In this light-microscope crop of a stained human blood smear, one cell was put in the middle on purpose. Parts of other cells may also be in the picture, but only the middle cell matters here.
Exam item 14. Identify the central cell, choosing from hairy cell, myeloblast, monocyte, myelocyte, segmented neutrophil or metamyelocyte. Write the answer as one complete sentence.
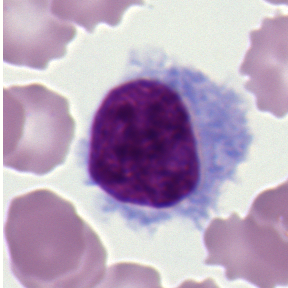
Located at the centre of the crop is a hairy cell.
